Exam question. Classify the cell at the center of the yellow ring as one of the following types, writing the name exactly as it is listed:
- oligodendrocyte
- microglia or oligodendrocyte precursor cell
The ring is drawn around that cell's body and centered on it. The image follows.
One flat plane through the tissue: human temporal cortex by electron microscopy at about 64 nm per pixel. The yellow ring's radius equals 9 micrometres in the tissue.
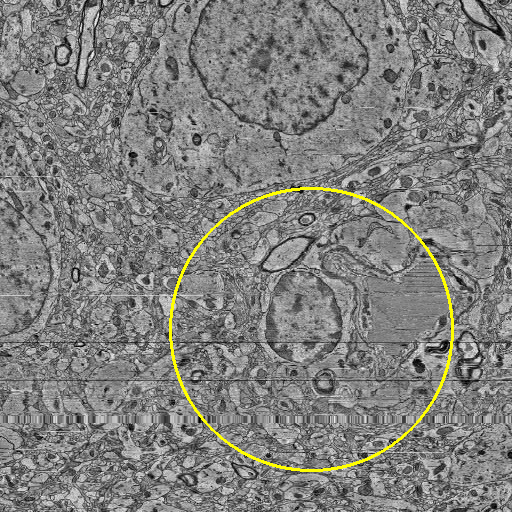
microglia or oligodendrocyte precursor cell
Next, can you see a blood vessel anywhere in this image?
Yes, a blood vessel can be seen.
